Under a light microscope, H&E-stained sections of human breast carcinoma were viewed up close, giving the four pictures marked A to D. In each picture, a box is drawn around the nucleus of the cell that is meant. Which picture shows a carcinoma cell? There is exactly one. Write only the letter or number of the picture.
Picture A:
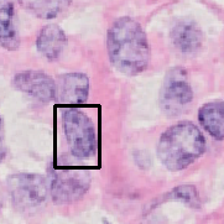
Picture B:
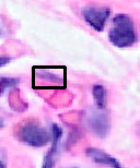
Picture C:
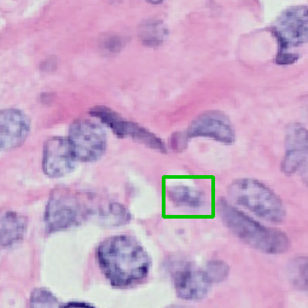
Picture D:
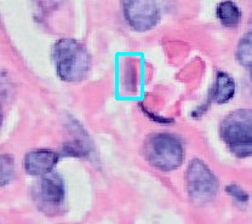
A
